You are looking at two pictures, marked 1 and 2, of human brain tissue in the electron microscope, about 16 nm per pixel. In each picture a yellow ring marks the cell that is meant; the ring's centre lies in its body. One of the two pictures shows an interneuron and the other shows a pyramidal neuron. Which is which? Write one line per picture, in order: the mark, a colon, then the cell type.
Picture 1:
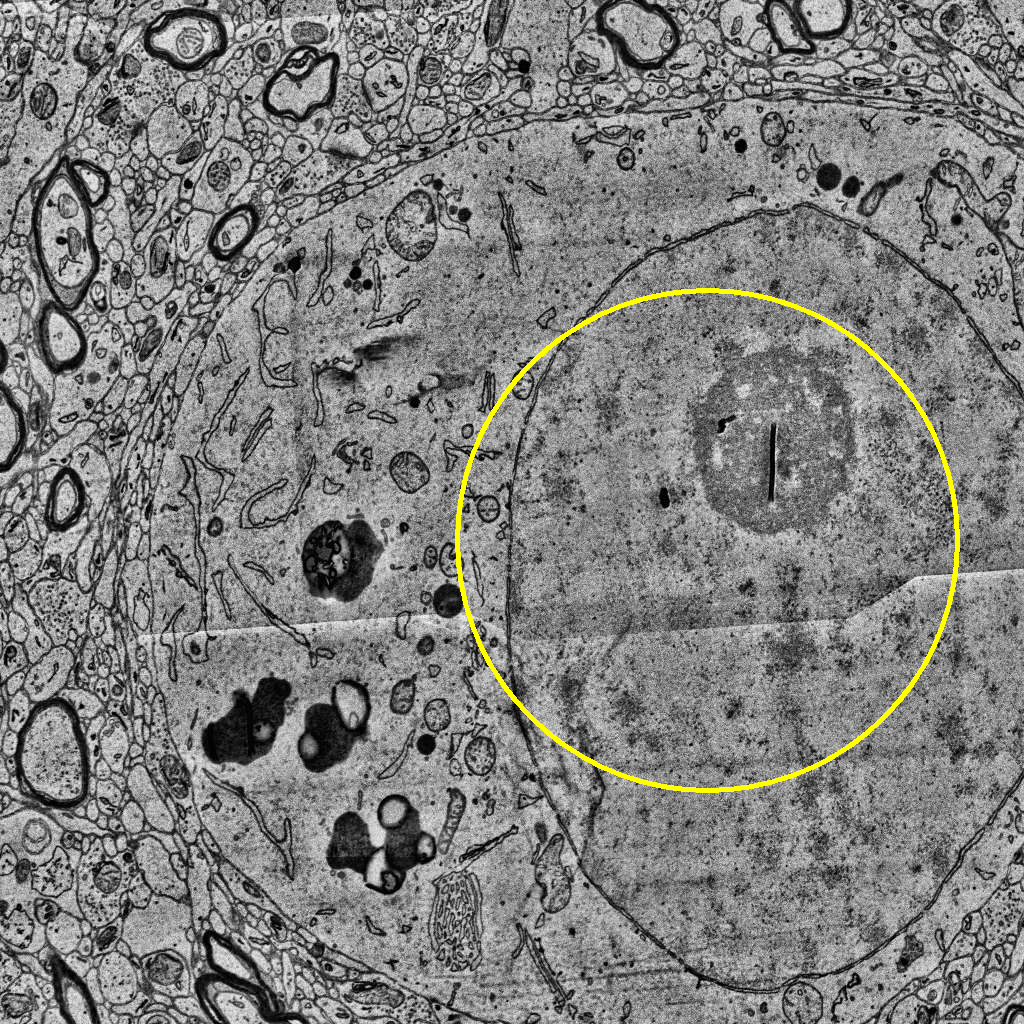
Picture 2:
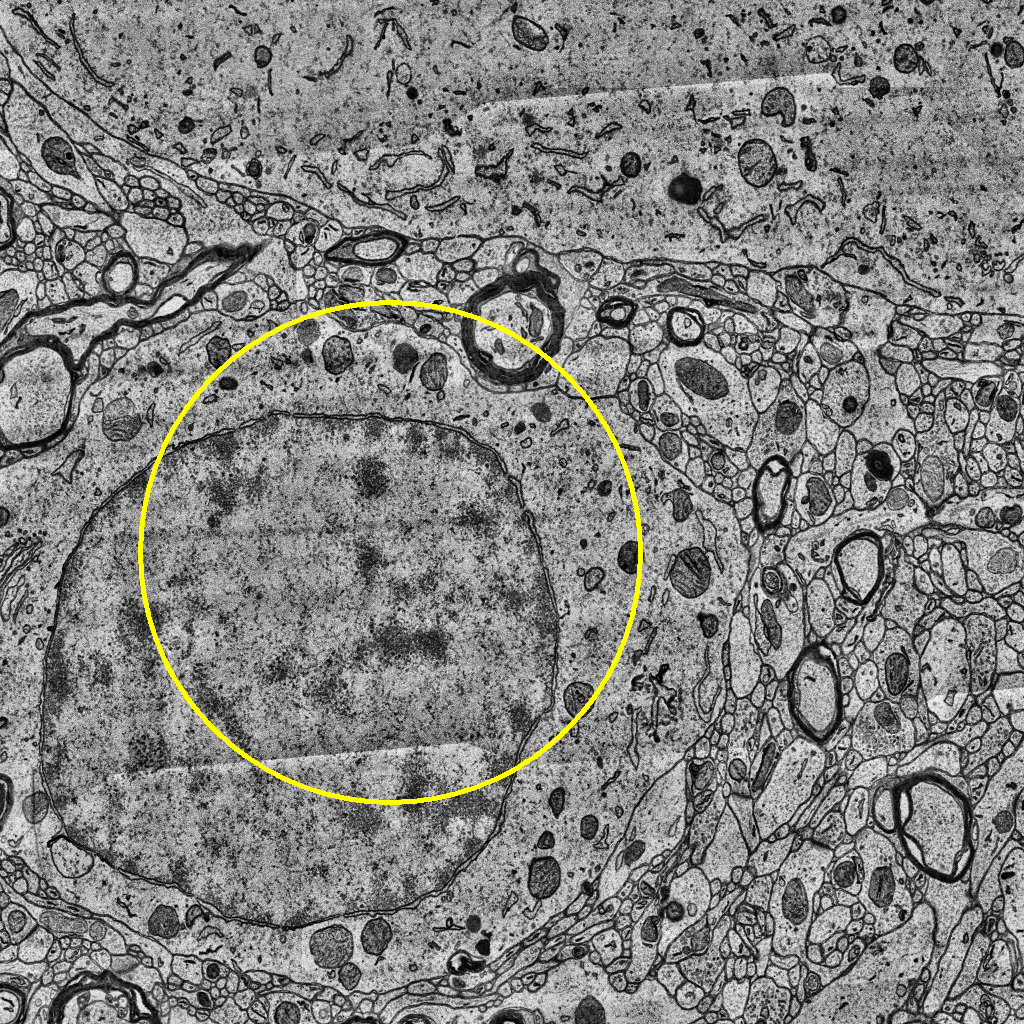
1: pyramidal neuron
2: interneuron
